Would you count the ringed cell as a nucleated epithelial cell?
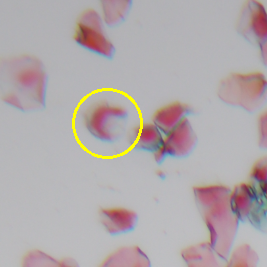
Yes, I would count it as a nucleated epithelial cell.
